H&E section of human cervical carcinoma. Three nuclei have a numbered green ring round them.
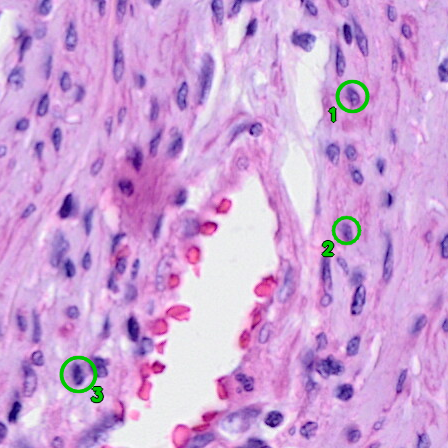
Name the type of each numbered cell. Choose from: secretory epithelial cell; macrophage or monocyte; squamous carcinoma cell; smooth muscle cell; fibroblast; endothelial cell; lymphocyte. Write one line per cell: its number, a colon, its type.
1: smooth muscle cell
2: smooth muscle cell
3: lymphocyte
